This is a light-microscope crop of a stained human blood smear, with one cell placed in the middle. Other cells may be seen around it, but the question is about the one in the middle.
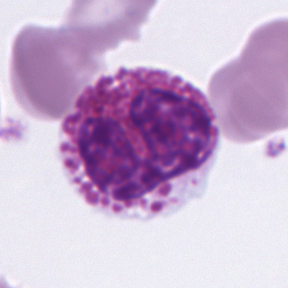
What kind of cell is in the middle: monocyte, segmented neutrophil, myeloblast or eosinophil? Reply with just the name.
eosinophil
